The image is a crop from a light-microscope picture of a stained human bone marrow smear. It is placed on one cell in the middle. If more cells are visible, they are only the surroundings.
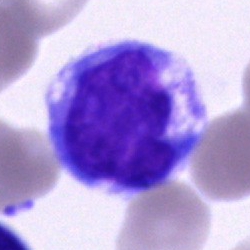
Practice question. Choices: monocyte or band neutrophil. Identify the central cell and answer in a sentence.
At the center of the crop sits a monocyte.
